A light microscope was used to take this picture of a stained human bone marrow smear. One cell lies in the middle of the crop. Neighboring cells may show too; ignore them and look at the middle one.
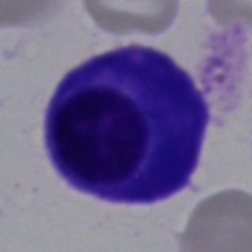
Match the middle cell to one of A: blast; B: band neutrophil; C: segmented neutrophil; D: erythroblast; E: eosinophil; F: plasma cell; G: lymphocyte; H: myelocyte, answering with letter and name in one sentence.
In this crop the middle cell is a plasma cell, so option F is the correct answer.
